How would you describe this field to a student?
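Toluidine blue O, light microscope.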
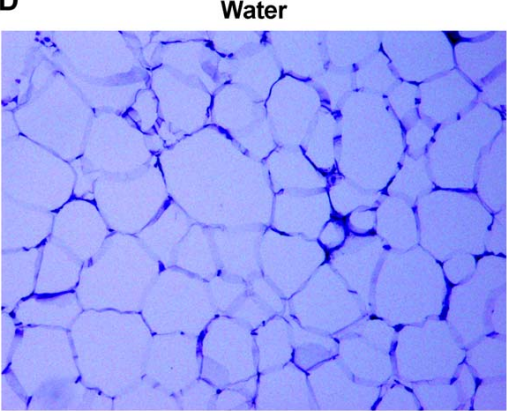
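Adipose tissue composed of large adipocytes of varied size, round to polygonal, with empty pale interiors. Neighbouring cells are separated by thin blue-stained rims, with darker blue staining at some junctions between cells.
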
